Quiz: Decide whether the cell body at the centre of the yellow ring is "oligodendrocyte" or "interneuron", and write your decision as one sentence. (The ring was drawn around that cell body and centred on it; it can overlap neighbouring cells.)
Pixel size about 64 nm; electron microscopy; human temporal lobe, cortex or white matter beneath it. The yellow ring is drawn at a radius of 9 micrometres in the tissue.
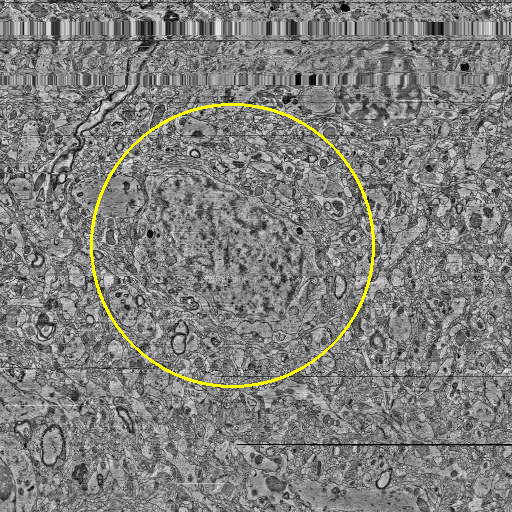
The cell the ring is centred on is an interneuron.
